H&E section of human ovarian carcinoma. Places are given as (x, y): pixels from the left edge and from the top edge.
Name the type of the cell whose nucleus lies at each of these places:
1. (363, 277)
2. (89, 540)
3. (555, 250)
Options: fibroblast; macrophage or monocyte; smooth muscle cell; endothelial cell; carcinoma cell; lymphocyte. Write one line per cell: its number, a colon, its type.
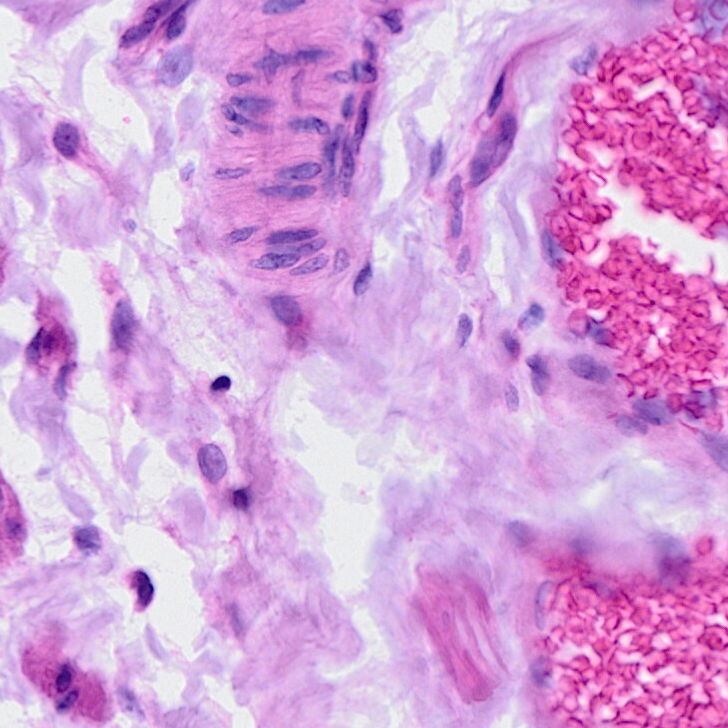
1: fibroblast
2: fibroblast
3: endothelial cell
